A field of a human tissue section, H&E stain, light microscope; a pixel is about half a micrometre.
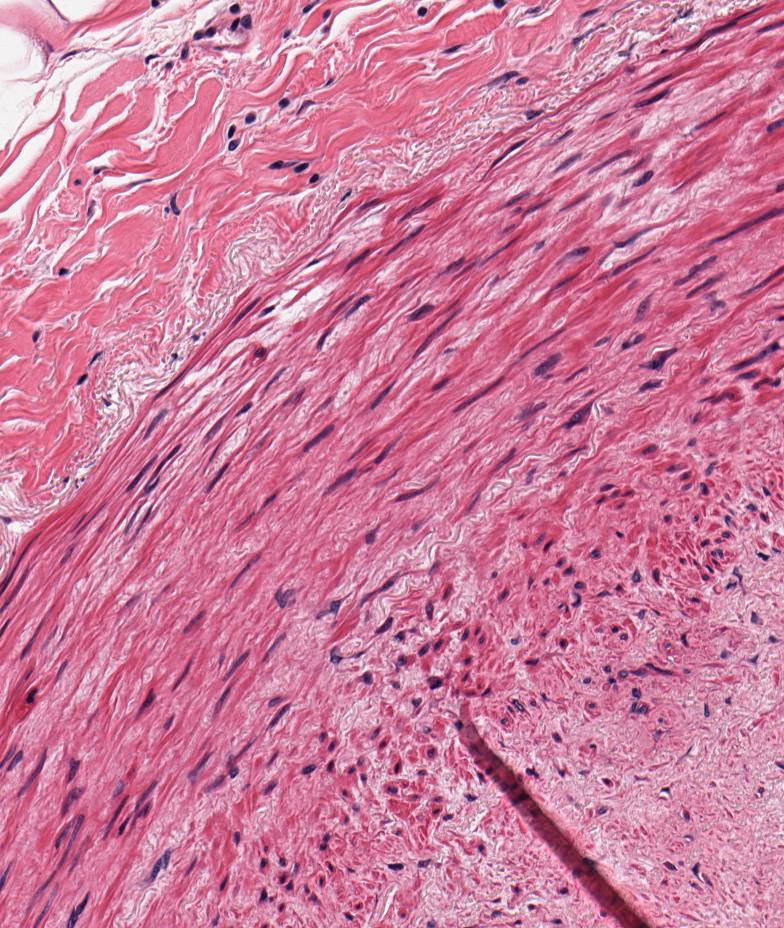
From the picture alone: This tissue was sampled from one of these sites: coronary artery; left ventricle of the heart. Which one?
coronary artery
